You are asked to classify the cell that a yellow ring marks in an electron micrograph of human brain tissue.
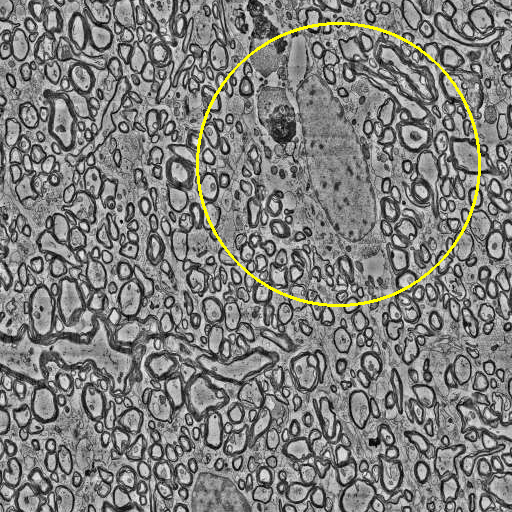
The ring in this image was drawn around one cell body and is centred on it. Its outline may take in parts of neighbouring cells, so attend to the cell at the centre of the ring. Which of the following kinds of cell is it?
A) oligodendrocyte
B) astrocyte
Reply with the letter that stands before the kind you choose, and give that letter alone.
B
